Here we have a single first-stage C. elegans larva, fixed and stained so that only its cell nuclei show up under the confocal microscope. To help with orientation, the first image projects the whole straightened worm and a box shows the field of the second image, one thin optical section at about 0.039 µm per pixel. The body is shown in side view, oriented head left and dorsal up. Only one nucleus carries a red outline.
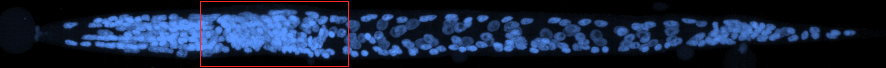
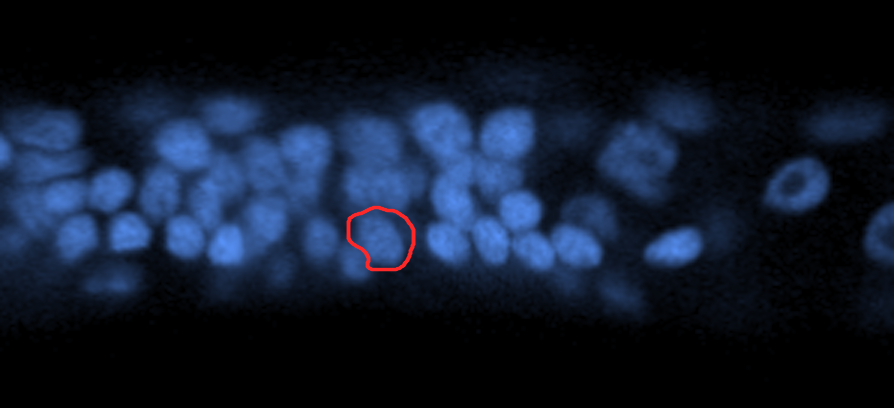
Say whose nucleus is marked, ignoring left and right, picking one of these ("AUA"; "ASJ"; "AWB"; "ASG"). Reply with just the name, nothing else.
ASJ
